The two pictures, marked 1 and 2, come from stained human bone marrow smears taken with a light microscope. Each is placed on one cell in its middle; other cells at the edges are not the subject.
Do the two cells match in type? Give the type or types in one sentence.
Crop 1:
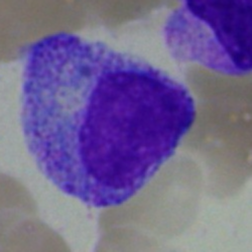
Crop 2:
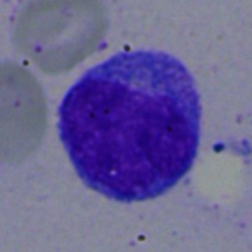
No, the labels go like this: crop 1 is a myelocyte and crop 2 is a promyelocyte.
